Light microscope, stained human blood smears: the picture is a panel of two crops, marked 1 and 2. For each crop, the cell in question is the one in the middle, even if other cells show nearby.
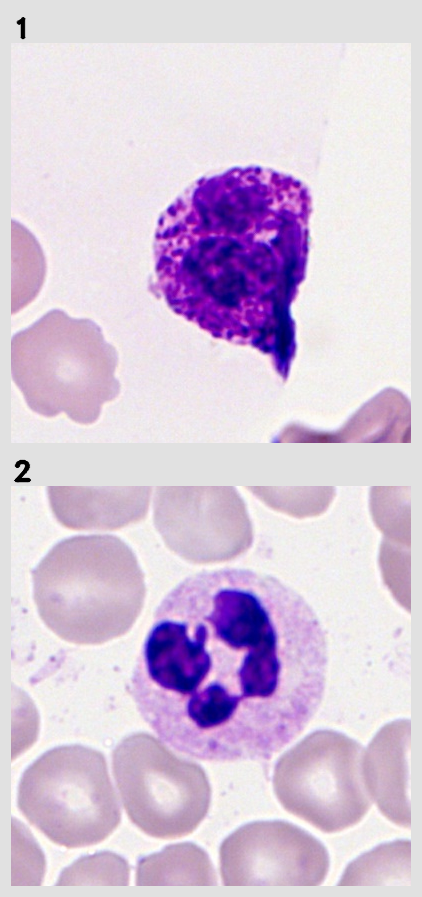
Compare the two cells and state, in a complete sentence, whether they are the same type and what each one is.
No, crop 1 displays a basophil, and crop 2 displays a neutrophil.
